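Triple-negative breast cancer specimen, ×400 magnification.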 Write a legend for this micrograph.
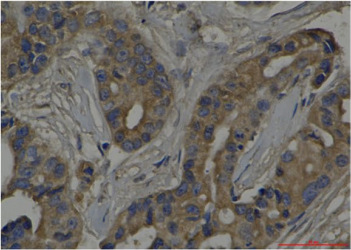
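The tumour cells have round, blue nuclei and ample cytoplasm that carries a diffuse, finely granular light-brown stain. Some groups surround small open spaces. Between the groups lies pale fibrous stroma containing spindle-shaped nuclei.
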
